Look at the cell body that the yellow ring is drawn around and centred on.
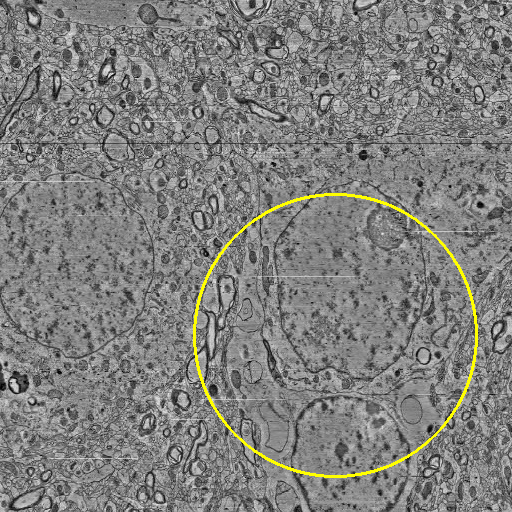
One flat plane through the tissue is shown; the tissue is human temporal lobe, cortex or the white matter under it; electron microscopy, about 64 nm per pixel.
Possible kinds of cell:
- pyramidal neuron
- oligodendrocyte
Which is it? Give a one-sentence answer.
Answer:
The centred cell body is that of a pyramidal neuron.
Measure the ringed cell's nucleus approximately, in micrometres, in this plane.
The nucleus has a long axis of about 13 micrometres and a short axis of about 10 micrometres in this plane.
